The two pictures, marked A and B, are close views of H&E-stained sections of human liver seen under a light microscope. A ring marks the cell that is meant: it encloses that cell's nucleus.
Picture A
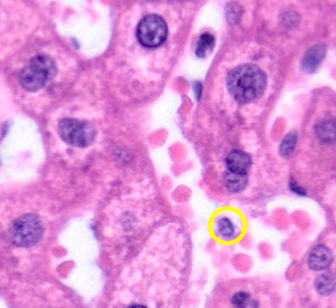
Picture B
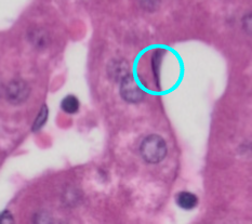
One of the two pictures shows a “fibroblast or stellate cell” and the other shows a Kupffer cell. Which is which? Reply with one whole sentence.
In picture A the cell is a Kupffer cell; in picture B, a “fibroblast or stellate cell”.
